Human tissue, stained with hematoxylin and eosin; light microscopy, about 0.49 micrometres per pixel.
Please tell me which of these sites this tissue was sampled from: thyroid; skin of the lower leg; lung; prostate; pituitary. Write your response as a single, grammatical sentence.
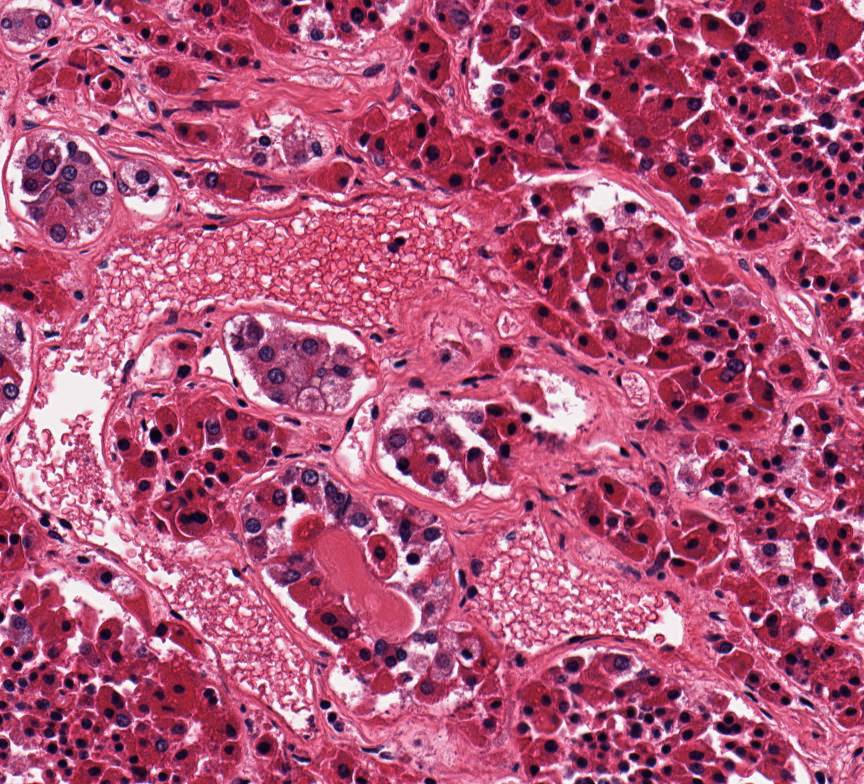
Tissue of the pituitary was sampled to make this section.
